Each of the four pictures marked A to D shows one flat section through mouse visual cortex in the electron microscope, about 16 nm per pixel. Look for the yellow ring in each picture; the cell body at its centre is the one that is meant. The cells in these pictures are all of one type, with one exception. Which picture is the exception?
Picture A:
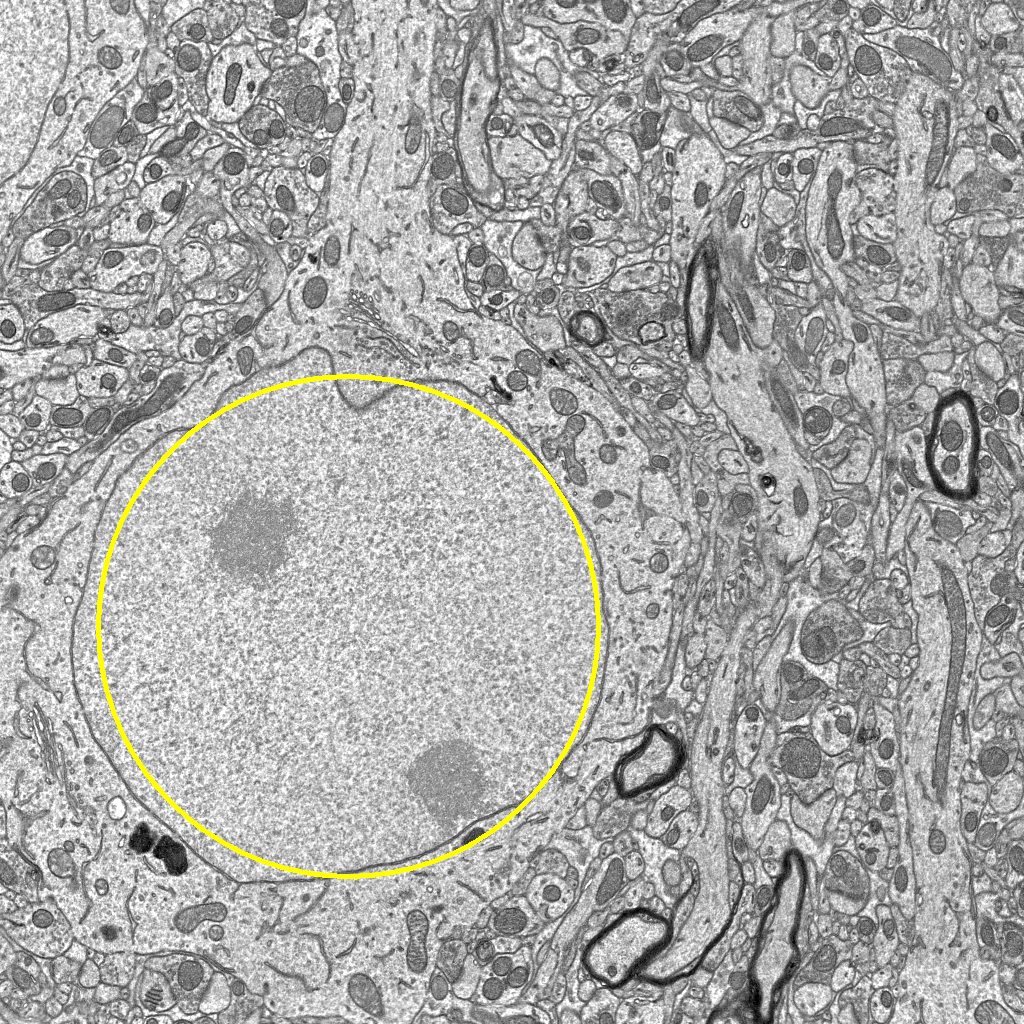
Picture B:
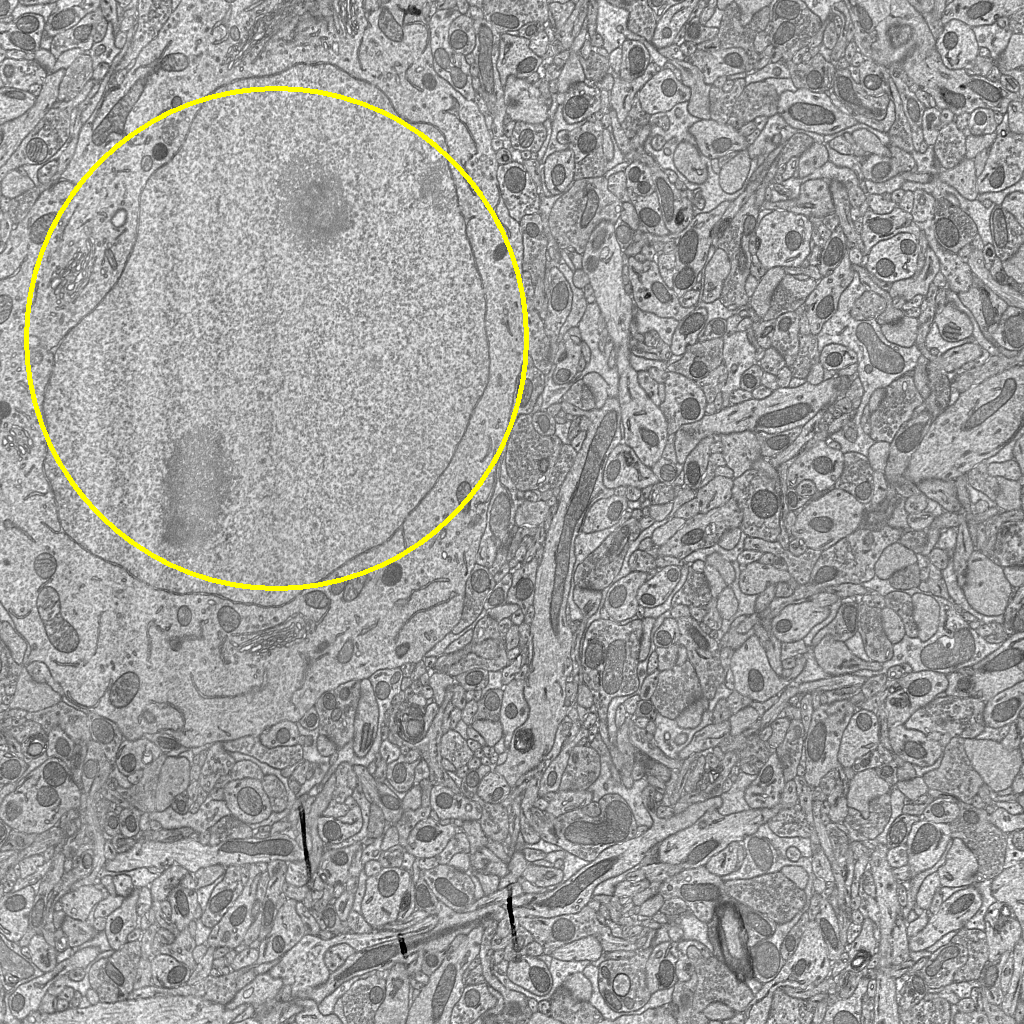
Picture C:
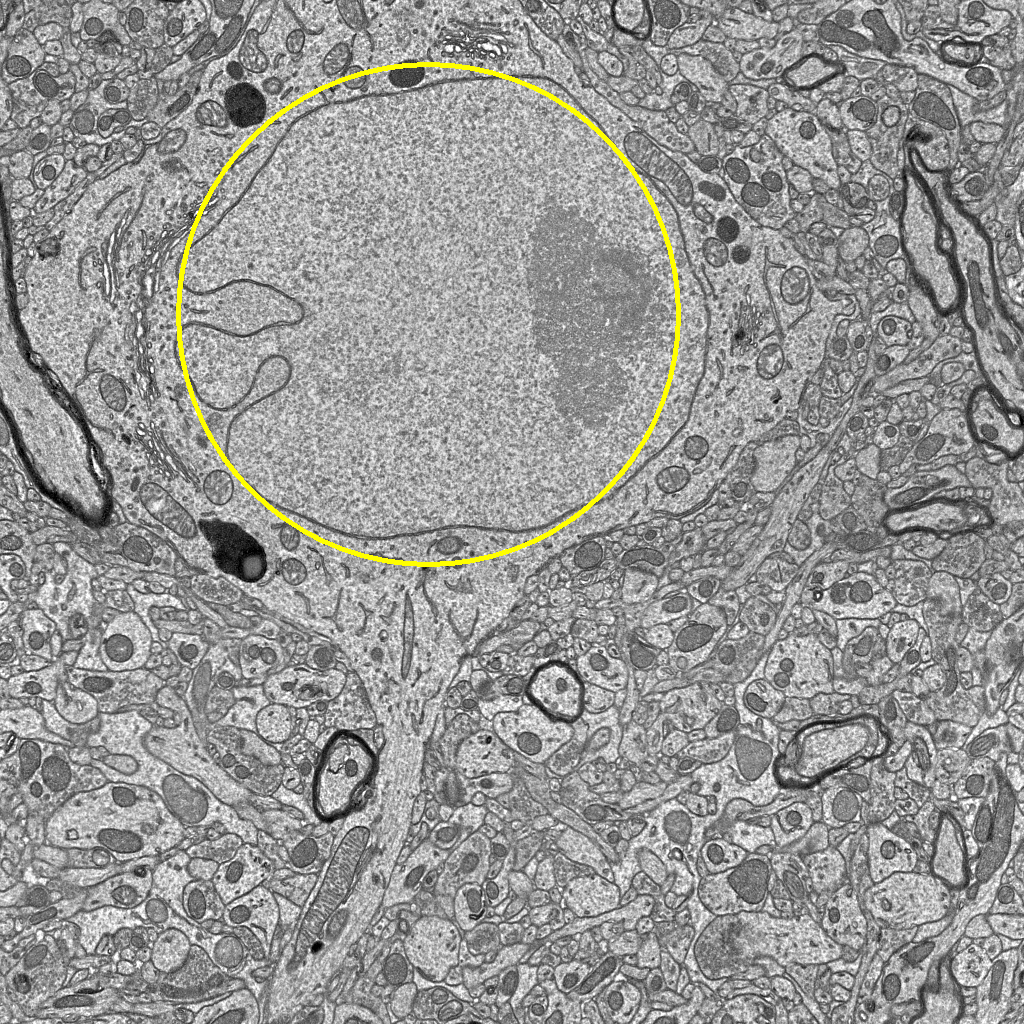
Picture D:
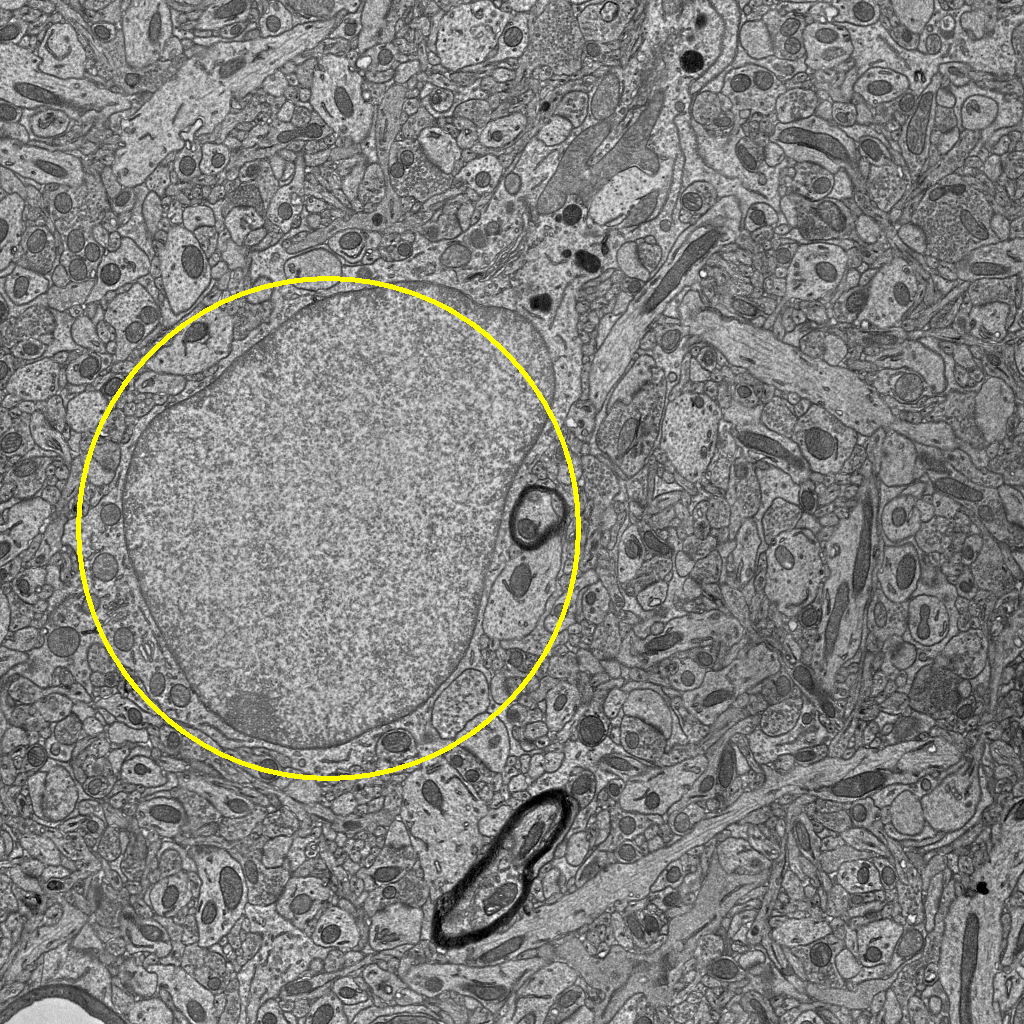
Unlike the rest, which show excitatory neurons, picture D shows an astrocyte.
